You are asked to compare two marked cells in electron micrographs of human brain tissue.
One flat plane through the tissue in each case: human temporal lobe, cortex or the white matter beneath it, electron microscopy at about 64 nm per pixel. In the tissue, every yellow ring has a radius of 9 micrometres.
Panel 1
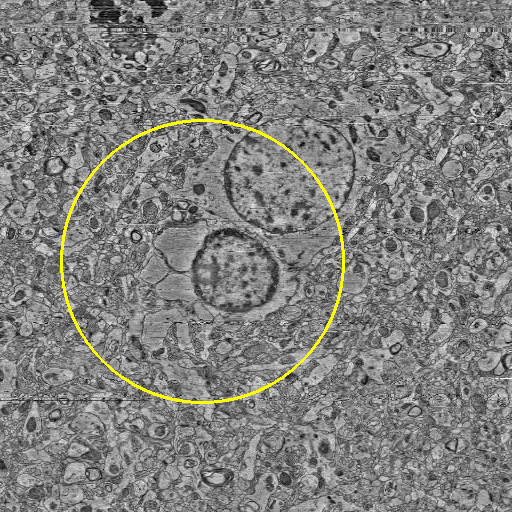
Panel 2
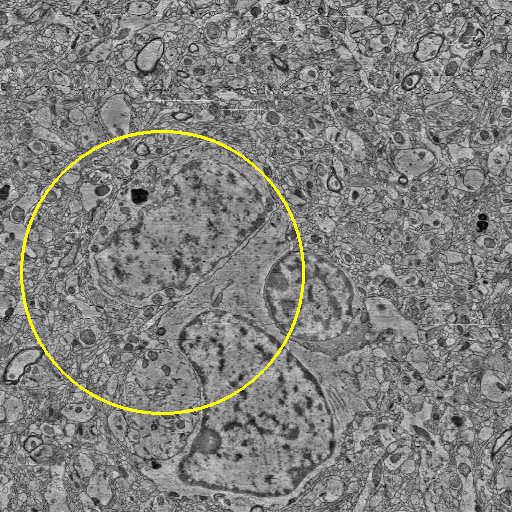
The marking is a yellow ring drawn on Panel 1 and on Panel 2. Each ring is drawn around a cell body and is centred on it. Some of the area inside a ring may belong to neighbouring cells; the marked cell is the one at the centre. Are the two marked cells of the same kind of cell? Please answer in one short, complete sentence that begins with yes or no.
No, the two marked cells are of two kinds.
